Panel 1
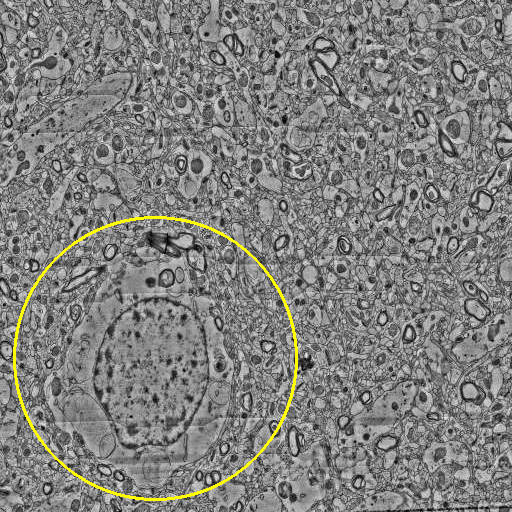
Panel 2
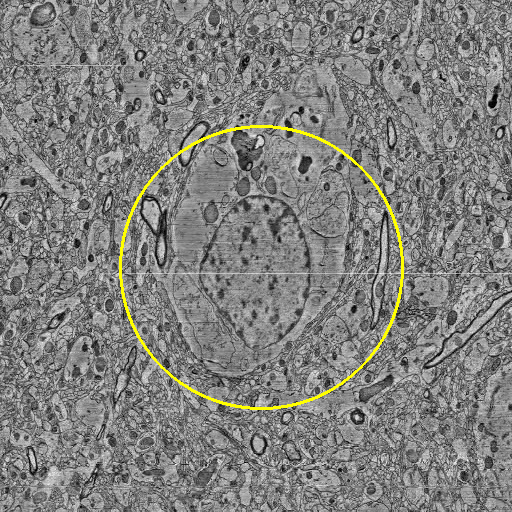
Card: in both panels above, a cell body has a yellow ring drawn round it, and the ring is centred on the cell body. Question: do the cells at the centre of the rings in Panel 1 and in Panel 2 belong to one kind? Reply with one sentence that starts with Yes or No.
Yes, the cells centred in the rings of Panel 1 and Panel 2 are one kind of cell.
